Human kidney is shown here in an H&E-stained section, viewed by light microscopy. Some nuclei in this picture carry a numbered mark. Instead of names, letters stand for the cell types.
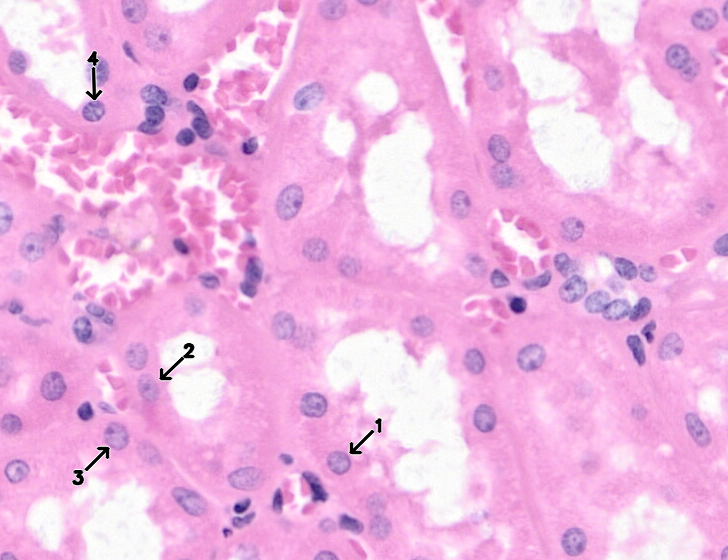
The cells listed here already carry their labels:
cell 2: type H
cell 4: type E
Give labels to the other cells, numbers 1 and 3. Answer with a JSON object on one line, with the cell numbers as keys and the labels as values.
{"1": "type H", "3": "type H"}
